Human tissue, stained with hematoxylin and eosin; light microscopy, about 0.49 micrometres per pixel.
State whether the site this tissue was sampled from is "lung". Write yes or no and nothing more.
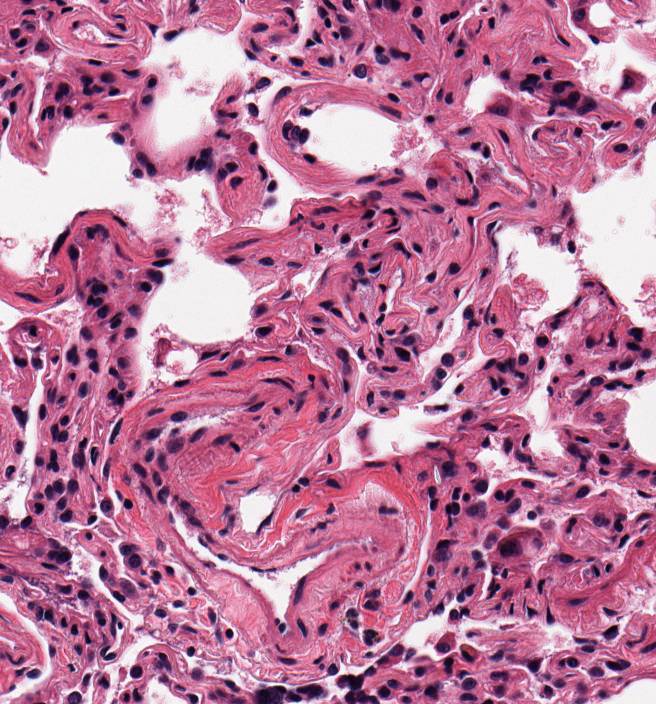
yes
